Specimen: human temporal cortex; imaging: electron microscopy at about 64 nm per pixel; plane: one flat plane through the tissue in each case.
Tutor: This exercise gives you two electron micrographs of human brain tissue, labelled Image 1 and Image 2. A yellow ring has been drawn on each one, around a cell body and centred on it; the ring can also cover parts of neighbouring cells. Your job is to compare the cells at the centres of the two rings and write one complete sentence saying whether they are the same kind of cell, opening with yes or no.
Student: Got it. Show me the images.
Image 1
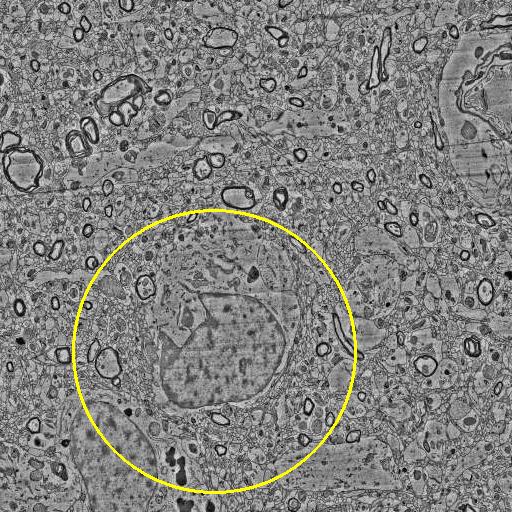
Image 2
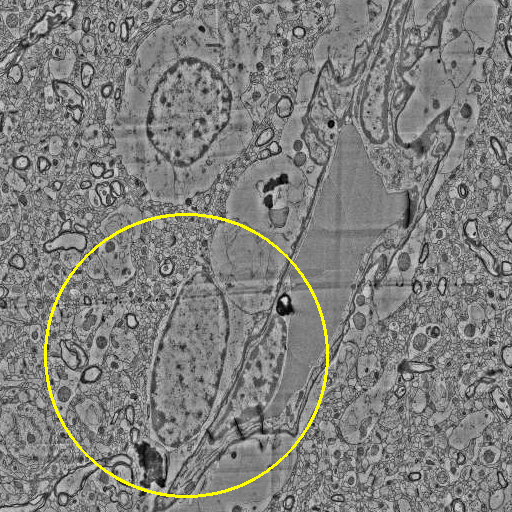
Yes, the two cells belong to the same kind.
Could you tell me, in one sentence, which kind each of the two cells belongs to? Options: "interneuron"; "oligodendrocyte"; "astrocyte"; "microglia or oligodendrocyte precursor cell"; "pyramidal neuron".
In each of the two pictures, the ringed cell is a microglial cell or oligodendrocyte precursor cell.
